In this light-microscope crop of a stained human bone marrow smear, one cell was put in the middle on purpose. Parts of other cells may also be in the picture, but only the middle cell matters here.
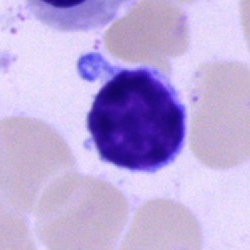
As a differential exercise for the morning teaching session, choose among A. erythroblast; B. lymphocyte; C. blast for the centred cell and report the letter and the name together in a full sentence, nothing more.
That the central cell is a lymphocyte makes option B correct.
